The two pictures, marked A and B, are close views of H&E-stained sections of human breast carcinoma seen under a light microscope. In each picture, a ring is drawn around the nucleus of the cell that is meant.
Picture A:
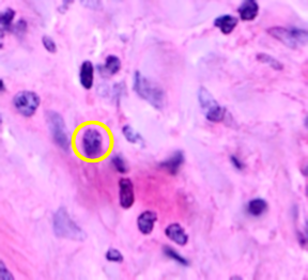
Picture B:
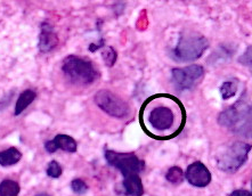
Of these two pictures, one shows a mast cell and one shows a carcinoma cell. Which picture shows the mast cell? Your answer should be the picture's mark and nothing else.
A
